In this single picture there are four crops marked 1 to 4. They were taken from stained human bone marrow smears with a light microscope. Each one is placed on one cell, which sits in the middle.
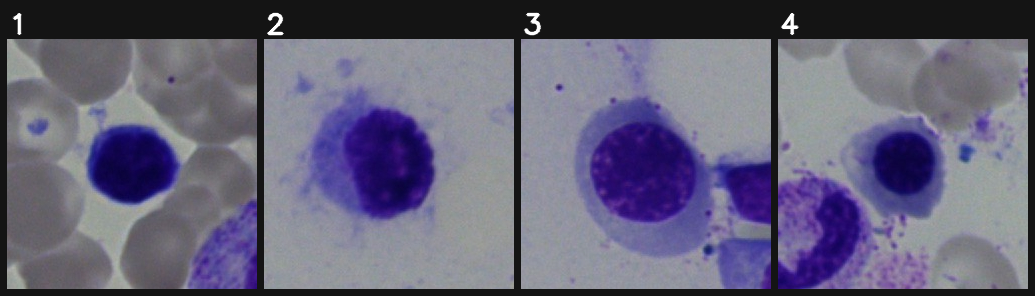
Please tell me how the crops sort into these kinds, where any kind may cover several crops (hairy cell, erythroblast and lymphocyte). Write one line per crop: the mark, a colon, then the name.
1: lymphocyte
2: hairy cell
3: erythroblast
4: erythroblast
